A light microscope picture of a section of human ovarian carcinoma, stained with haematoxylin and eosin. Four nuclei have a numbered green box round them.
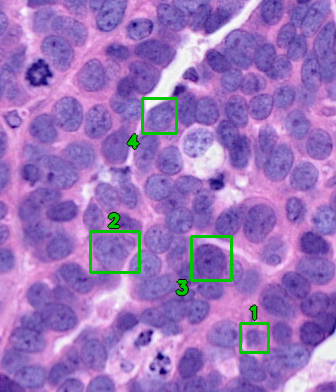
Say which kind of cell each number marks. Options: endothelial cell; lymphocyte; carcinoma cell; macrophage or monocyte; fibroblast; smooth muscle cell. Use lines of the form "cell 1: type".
cell 1: macrophage or monocyte
cell 2: carcinoma cell
cell 3: carcinoma cell
cell 4: carcinoma cell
